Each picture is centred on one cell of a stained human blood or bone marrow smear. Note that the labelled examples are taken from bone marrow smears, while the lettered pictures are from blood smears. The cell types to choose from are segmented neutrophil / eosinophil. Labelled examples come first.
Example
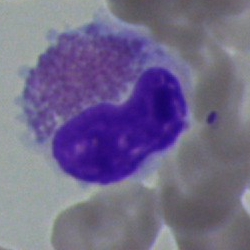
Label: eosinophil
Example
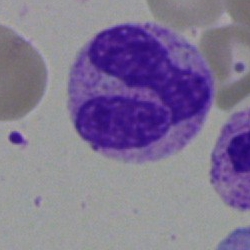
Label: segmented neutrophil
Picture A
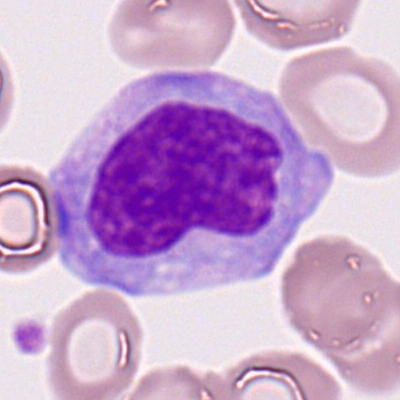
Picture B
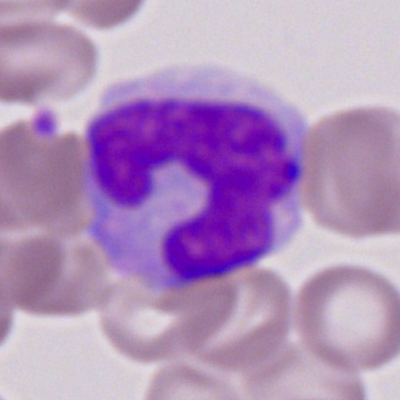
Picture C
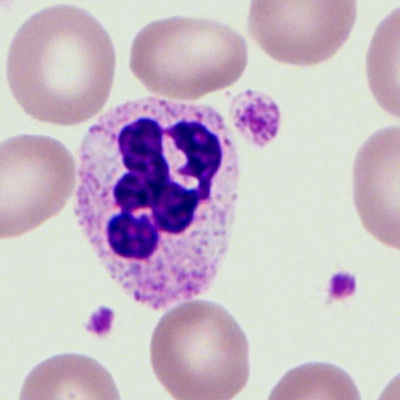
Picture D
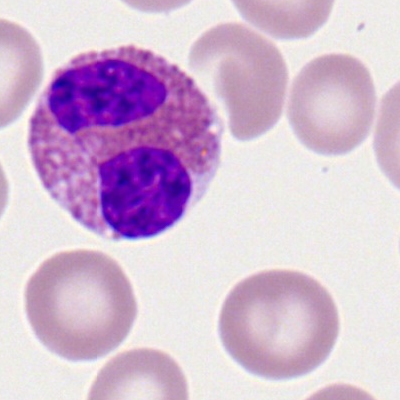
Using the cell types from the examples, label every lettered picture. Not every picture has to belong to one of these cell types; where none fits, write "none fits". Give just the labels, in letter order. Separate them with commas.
none fits, none fits, segmented neutrophil, eosinophil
